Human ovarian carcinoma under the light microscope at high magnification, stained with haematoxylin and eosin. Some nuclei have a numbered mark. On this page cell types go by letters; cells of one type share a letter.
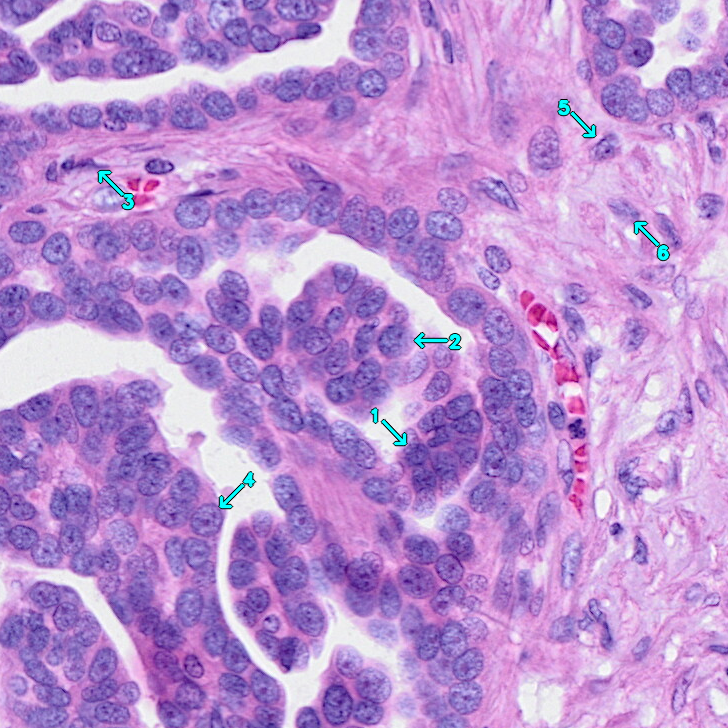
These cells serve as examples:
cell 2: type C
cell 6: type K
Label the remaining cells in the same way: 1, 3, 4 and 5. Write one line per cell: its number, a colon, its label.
1: type C
3: type K
4: type C
5: type K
